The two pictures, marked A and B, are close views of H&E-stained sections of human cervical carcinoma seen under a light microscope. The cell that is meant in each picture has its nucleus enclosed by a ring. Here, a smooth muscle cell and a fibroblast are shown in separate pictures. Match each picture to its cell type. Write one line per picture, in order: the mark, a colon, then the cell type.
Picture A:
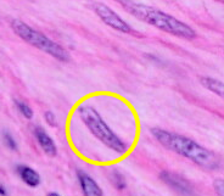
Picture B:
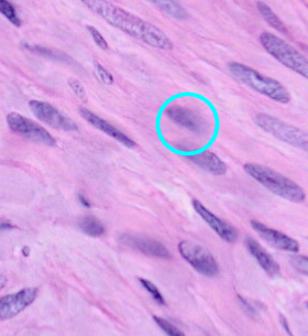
A: smooth muscle cell
B: fibroblast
